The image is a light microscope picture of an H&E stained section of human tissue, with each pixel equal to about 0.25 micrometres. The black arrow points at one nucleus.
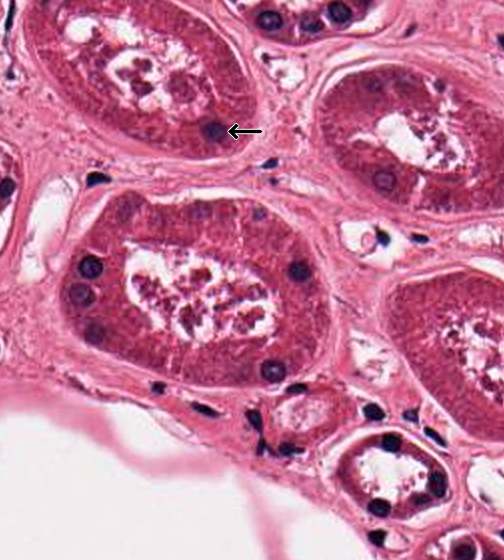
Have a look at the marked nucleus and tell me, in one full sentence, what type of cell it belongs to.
The mark indicates the nucleus of a proximal tubule cell.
